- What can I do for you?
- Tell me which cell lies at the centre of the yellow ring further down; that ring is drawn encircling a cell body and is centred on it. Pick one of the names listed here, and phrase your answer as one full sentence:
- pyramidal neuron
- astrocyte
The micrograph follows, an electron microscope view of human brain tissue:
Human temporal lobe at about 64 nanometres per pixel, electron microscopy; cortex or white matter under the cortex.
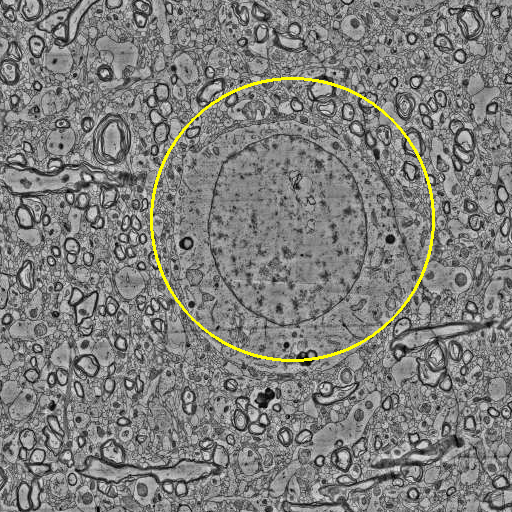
The cell whose body lies at the centre of the yellow ring is a pyramidal neuron.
